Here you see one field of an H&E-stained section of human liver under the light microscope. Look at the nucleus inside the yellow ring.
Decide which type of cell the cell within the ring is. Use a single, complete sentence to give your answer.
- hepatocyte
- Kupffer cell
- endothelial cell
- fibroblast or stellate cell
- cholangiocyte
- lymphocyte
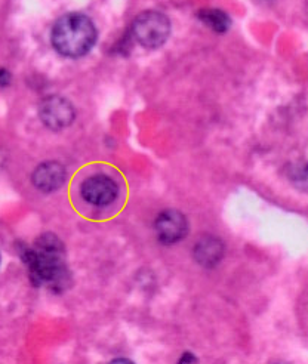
By its classification, the cell within the ring is a hepatocyte.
